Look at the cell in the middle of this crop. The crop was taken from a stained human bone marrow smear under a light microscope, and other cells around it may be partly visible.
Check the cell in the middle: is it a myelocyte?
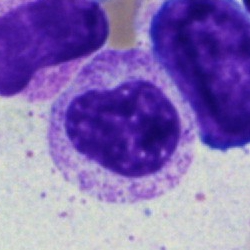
yes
